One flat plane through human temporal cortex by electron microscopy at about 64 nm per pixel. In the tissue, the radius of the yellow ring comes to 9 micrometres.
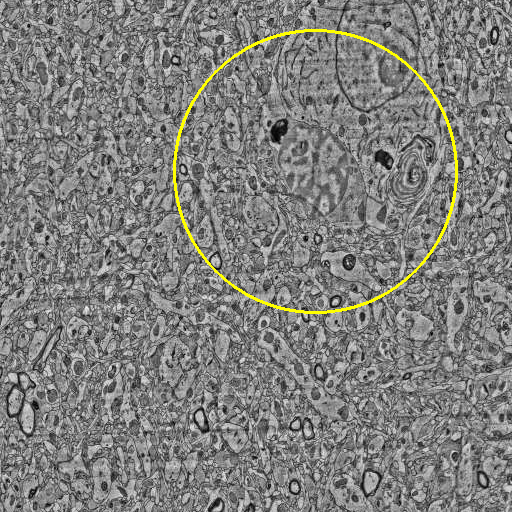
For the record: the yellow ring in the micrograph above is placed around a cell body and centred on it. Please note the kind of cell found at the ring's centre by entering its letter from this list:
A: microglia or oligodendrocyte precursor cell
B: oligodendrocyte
B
